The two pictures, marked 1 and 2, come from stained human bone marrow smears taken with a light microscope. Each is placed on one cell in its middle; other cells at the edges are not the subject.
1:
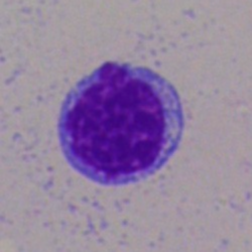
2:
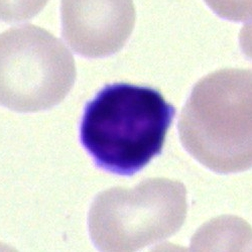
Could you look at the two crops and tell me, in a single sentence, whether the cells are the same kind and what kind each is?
Yes, both crops show lymphocytes in the centre of the field.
